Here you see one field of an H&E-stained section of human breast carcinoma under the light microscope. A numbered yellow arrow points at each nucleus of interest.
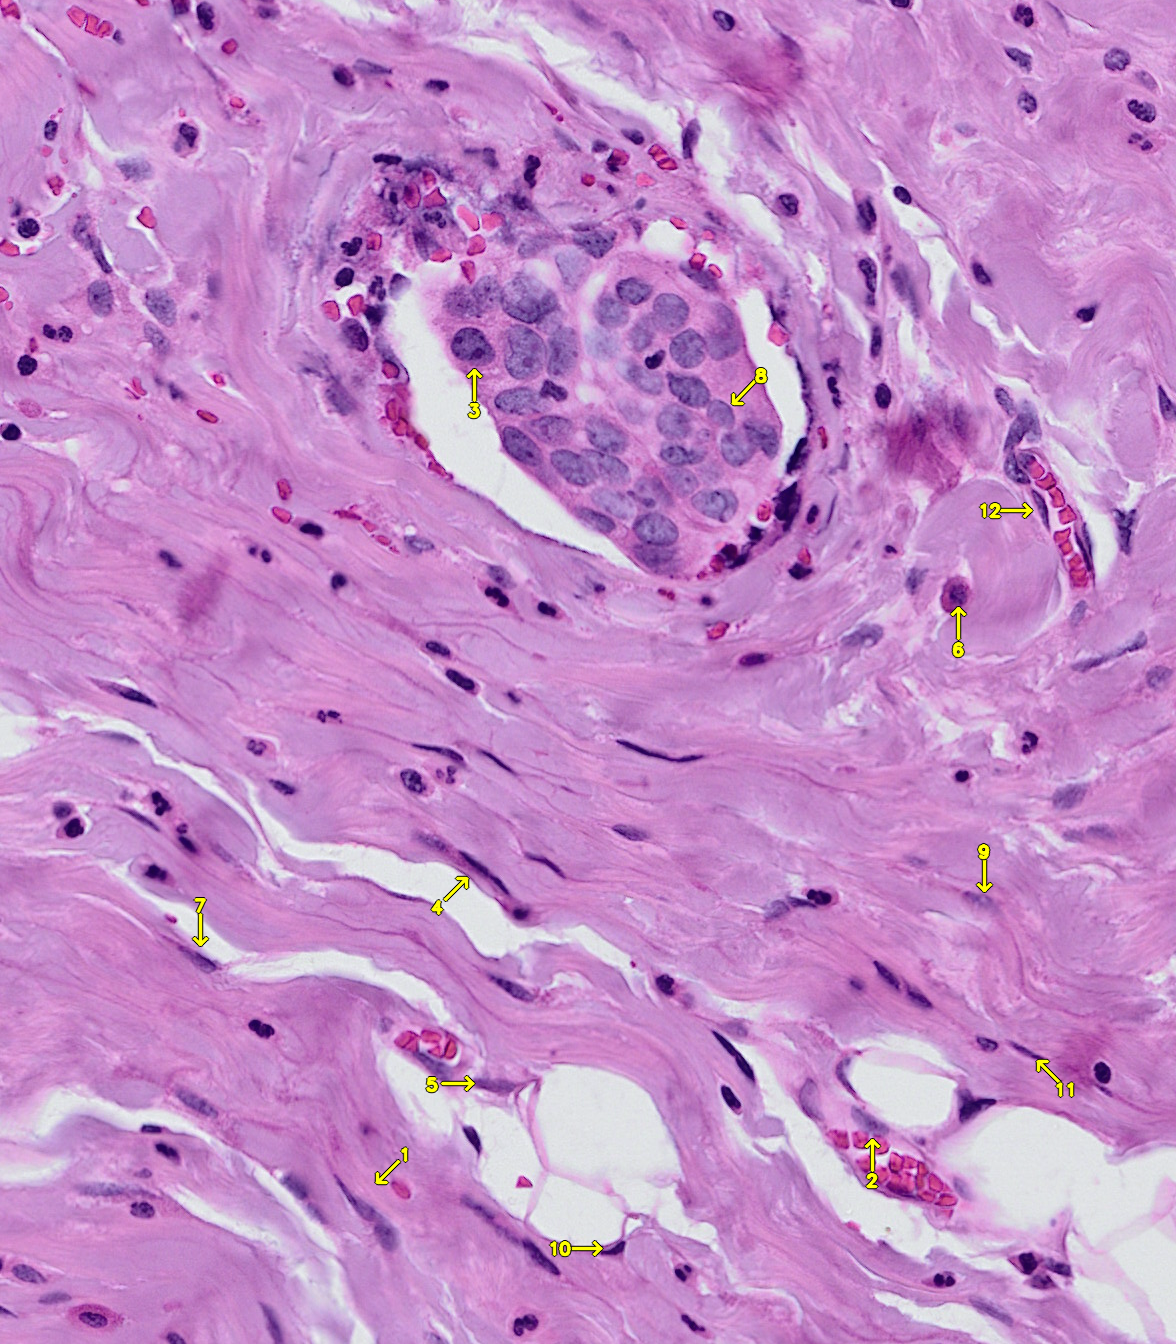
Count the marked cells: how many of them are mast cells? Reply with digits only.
1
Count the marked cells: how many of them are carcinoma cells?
2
